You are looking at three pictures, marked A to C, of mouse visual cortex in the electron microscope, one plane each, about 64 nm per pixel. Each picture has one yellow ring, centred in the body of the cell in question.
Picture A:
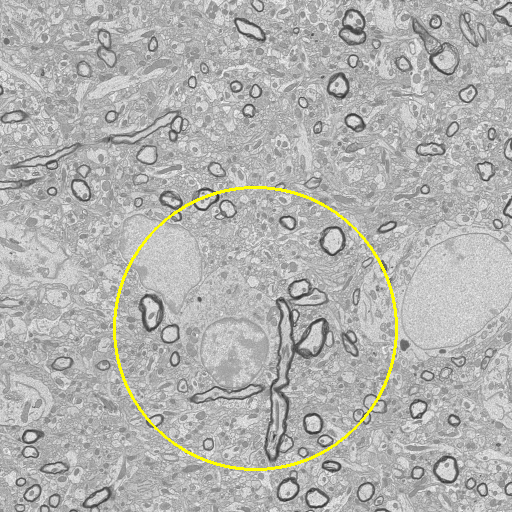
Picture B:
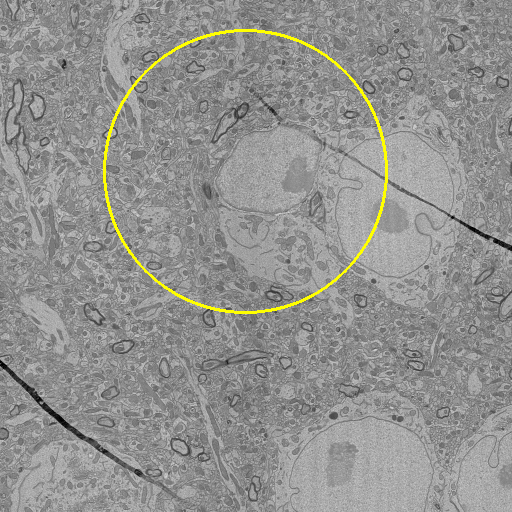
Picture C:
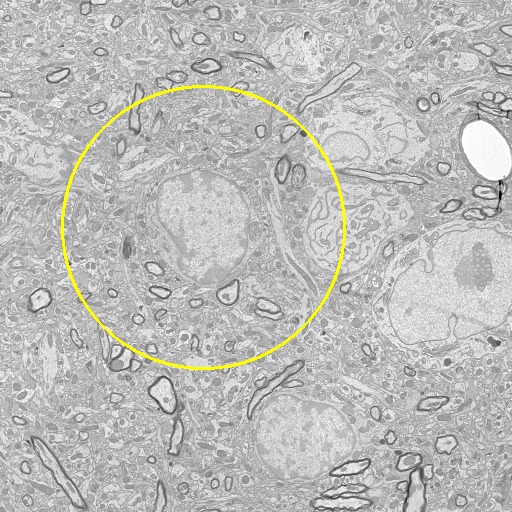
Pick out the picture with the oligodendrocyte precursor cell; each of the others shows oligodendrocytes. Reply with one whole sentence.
The picture with the oligodendrocyte precursor cell is B.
